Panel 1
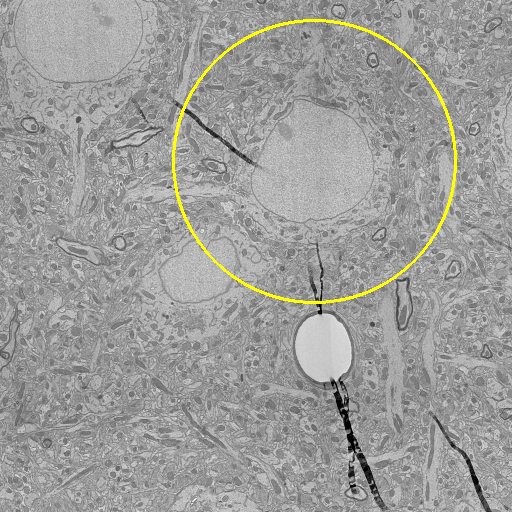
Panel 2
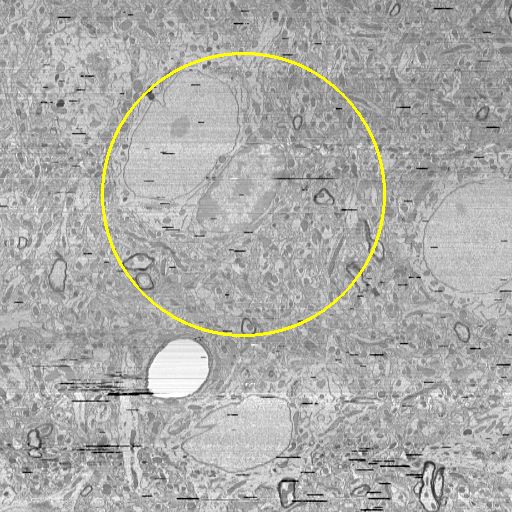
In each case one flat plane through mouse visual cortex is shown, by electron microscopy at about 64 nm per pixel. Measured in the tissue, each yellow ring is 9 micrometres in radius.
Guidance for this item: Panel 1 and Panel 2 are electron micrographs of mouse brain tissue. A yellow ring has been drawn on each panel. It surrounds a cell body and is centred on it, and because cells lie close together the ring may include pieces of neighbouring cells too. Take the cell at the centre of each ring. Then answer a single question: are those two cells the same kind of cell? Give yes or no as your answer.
no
